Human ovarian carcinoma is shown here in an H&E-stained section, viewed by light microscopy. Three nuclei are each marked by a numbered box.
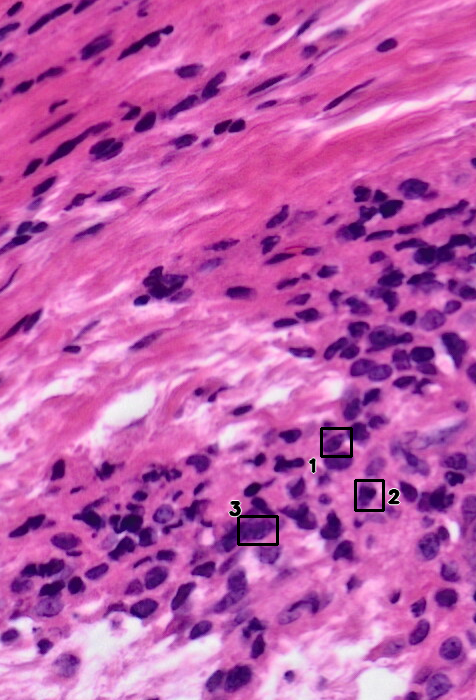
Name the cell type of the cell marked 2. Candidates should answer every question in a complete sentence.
Denoted by the label 2 in the section is a macrophage or monocyte.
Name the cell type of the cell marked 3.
The cell numbered 3 represents a carcinoma cell.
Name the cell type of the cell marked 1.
The cell given label 1 is a carcinoma cell.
